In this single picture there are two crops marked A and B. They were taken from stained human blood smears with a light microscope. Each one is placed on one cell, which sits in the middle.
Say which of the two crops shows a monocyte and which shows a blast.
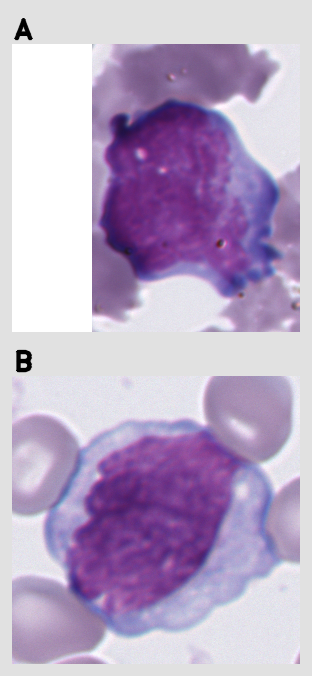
A: blast
B: monocyte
